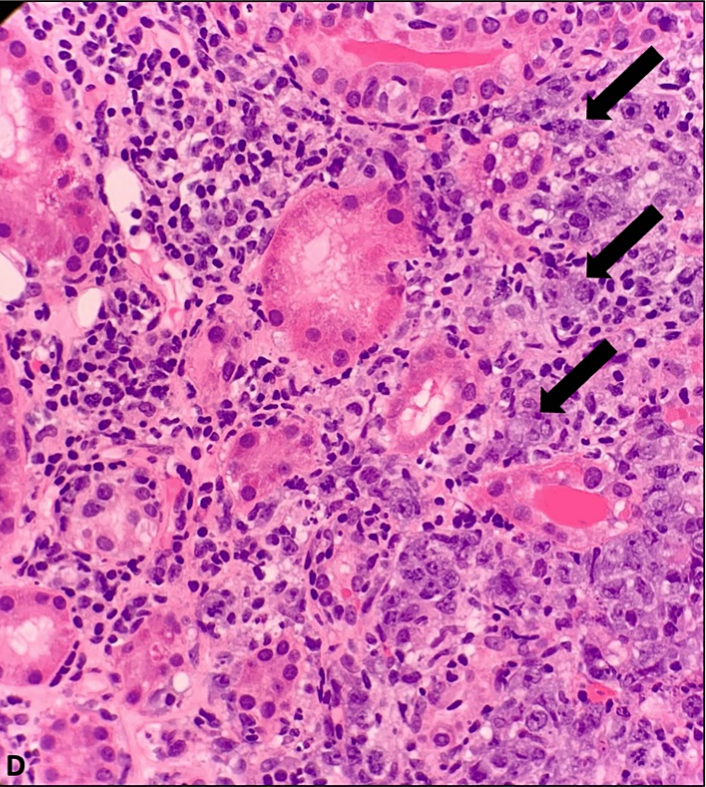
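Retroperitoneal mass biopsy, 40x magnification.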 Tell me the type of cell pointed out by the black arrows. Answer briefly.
Lymphoma cells.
